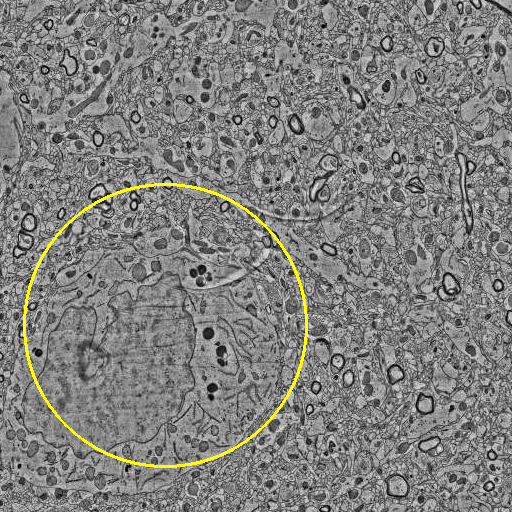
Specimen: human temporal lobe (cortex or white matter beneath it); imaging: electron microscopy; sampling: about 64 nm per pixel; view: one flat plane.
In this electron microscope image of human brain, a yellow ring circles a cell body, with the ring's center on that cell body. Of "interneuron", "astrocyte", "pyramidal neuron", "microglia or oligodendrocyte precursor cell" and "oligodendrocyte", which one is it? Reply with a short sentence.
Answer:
It is an interneuron at the center of the ring.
